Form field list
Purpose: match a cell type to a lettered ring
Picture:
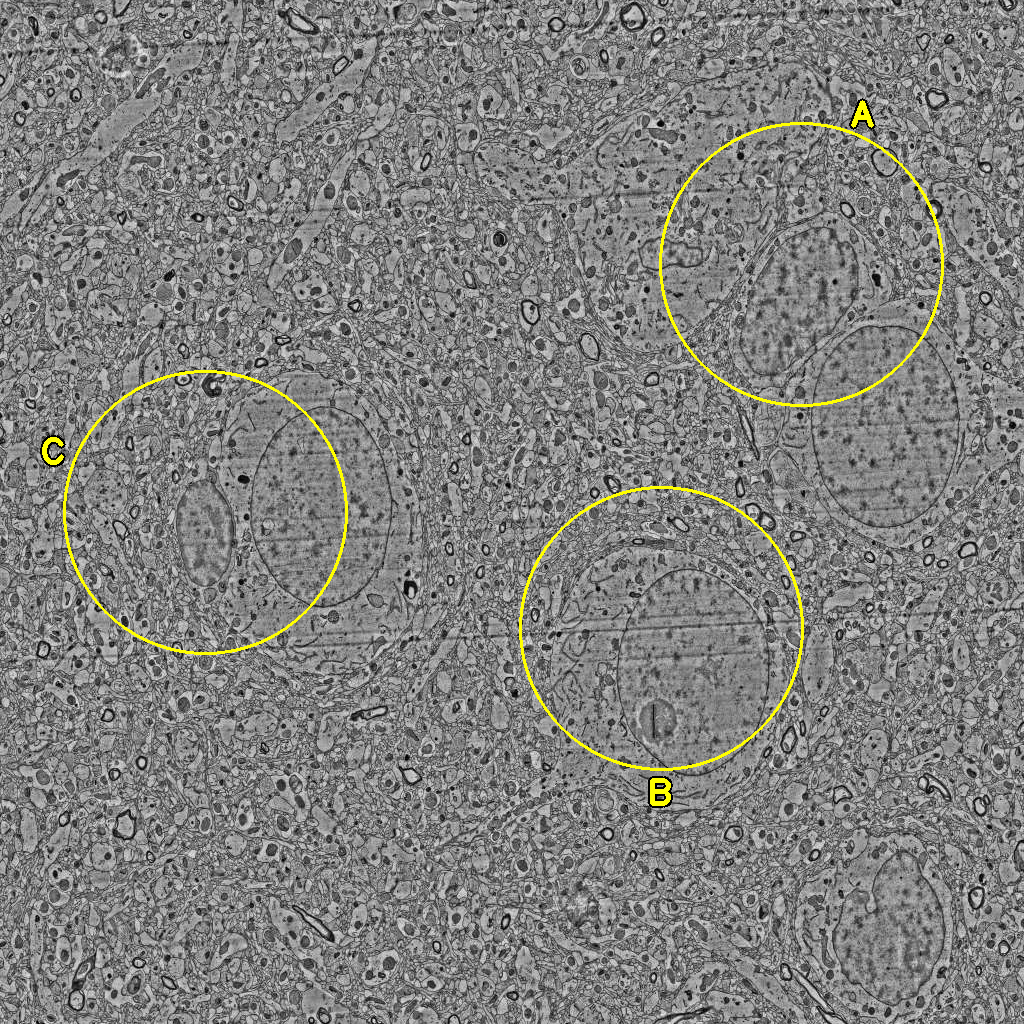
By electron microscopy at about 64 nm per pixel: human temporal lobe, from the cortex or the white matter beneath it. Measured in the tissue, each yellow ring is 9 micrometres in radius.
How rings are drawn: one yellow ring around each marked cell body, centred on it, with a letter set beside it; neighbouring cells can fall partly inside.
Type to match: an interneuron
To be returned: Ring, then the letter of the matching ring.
Ring A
